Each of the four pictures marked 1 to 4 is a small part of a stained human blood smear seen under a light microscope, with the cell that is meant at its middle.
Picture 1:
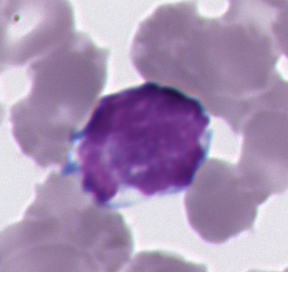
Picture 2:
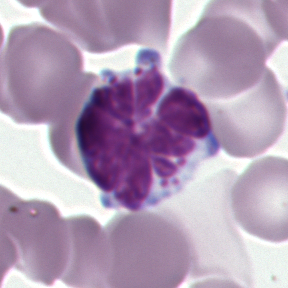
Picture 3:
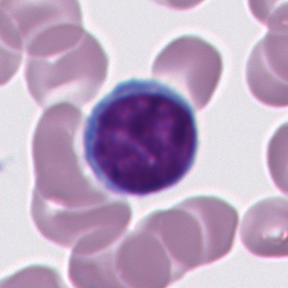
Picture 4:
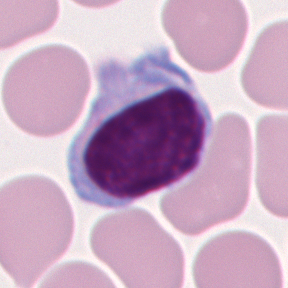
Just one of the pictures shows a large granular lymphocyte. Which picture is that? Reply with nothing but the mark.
2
